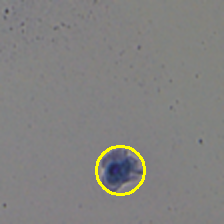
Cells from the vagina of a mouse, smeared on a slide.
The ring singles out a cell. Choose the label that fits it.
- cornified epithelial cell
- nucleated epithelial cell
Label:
nucleated epithelial cell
